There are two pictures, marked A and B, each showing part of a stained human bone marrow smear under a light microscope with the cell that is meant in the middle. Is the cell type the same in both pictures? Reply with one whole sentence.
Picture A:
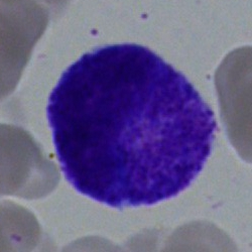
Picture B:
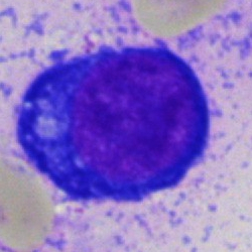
No. Picture A shows a promyelocyte, but picture B shows a proerythroblast.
